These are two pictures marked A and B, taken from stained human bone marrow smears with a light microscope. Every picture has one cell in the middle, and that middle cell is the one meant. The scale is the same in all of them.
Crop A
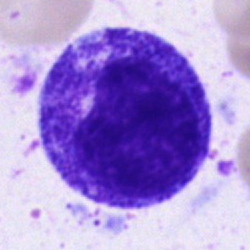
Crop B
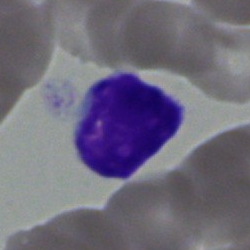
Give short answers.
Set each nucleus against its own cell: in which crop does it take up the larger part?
B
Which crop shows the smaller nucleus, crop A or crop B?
B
